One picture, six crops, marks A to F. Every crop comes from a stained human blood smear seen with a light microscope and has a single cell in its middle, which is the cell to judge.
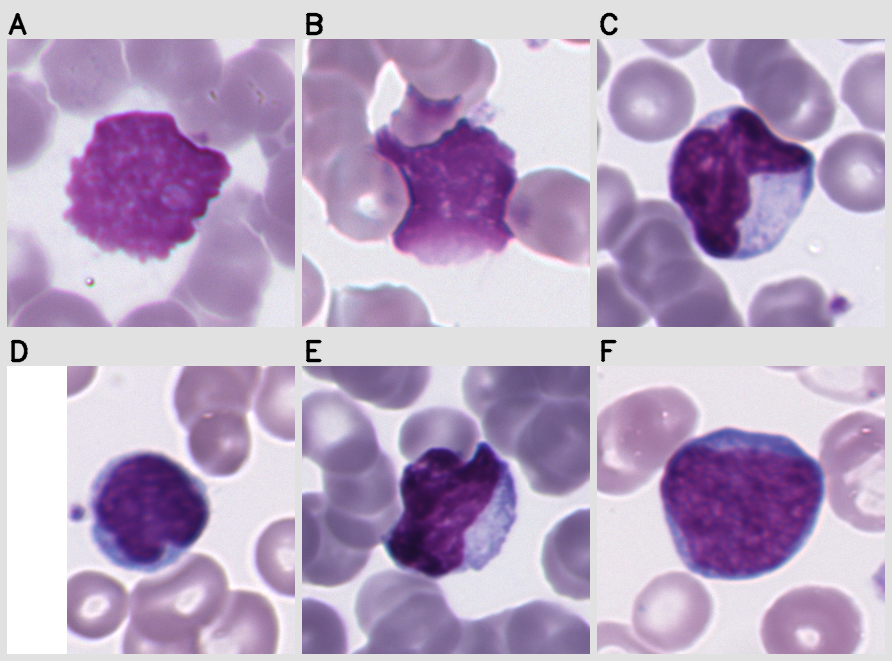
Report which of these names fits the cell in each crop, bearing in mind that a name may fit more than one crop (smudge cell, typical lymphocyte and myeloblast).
A: smudge cell
B: smudge cell
C: typical lymphocyte
D: typical lymphocyte
E: typical lymphocyte
F: myeloblast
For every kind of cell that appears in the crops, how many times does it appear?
typical lymphocyte: 3
smudge cell: 2
myeloblast: 1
